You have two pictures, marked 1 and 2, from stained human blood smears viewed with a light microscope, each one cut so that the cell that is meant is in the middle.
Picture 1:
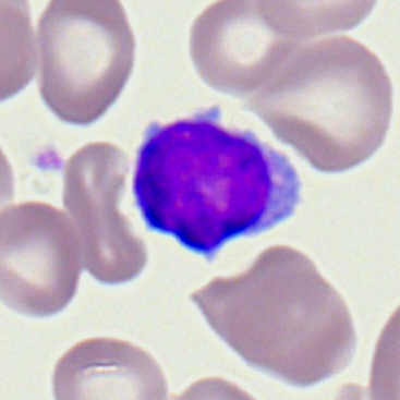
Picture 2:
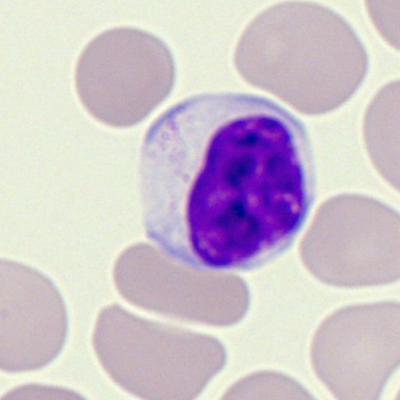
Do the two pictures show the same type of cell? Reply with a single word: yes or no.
yes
